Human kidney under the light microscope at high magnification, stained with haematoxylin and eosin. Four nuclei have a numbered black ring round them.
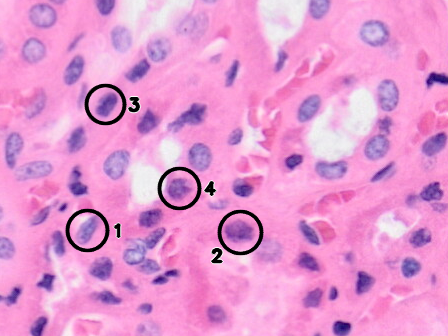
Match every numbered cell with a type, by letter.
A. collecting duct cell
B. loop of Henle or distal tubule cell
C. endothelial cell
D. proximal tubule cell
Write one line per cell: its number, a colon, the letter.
1: C
2: D
3: A
4: B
